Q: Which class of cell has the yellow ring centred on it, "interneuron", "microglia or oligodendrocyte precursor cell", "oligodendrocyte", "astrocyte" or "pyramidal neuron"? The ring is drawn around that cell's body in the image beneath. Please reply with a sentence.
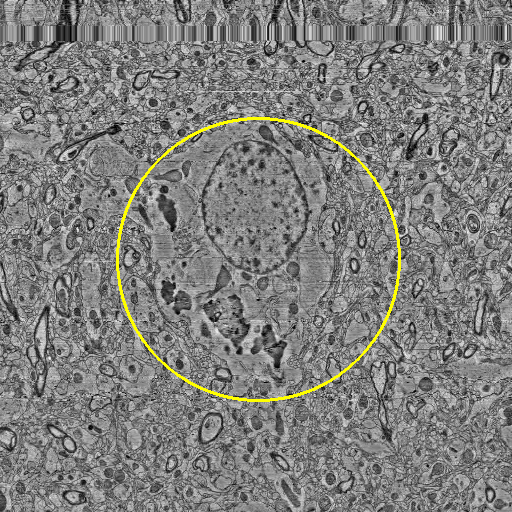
It is centred on an astrocyte.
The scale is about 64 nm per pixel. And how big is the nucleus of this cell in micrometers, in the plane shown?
In this plane, the nucleus of the cell at the centre of the ring measures about 9 by 7 micrometres.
